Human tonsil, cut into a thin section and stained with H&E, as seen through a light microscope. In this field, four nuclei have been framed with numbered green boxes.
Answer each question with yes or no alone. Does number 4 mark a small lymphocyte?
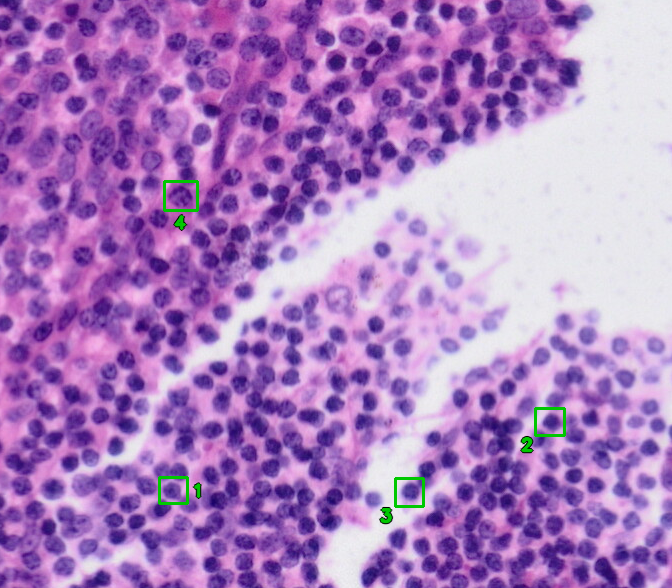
no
